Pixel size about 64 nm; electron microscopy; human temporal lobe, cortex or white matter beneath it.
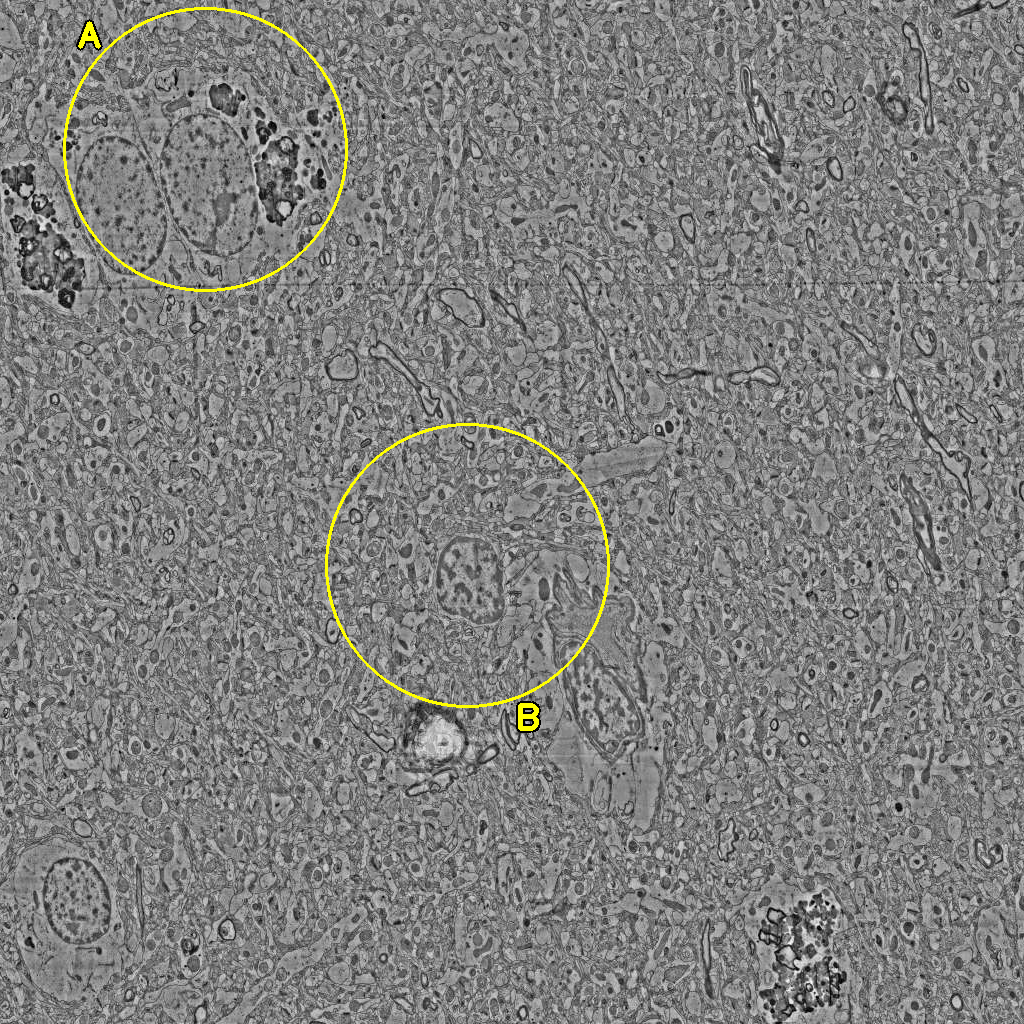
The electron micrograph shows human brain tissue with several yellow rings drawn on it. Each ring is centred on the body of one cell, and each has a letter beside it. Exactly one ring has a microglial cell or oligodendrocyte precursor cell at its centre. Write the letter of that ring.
B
